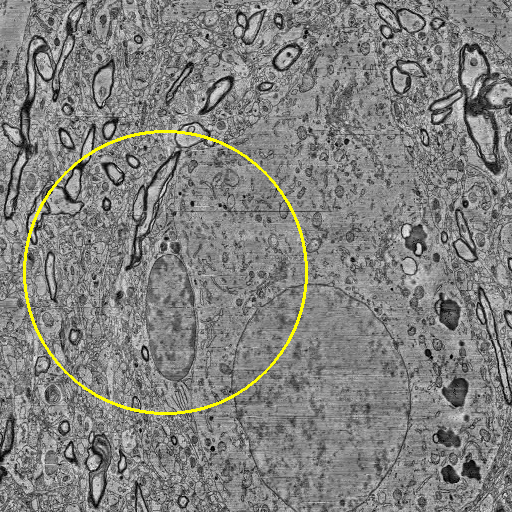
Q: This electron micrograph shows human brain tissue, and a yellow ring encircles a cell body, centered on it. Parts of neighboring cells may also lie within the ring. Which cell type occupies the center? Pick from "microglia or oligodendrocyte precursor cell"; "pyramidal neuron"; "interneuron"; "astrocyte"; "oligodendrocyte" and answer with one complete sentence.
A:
What sits at the ring's center in this micrograph is a microglial cell or oligodendrocyte precursor cell, among those choices.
